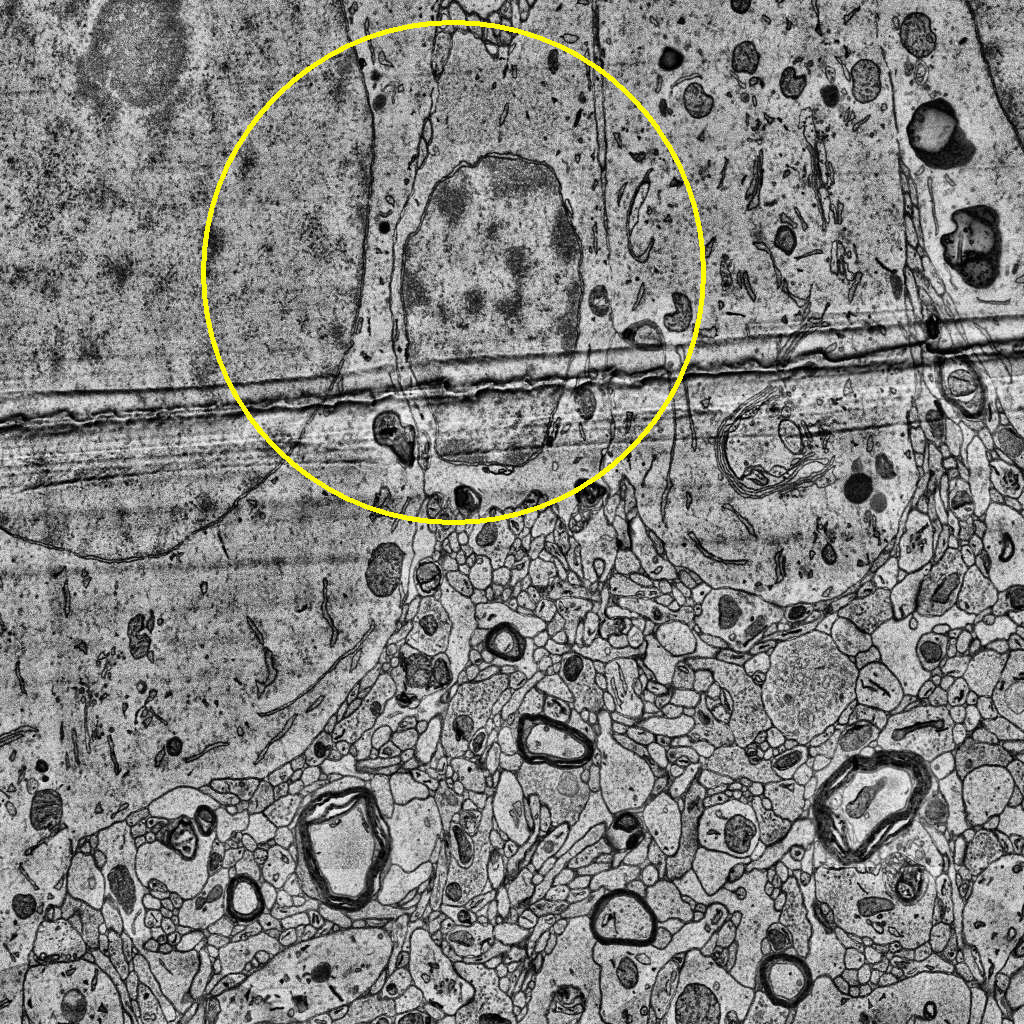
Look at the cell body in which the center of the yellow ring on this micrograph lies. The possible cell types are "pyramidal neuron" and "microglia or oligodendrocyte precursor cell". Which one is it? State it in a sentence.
The cell at the middle of the ring is a microglial cell or oligodendrocyte precursor cell.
